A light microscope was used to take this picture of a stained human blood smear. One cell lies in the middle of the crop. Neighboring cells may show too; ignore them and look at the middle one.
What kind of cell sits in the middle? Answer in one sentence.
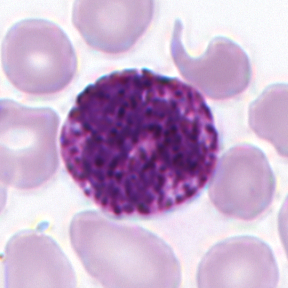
Standing at the centre of this crop is a basophil.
